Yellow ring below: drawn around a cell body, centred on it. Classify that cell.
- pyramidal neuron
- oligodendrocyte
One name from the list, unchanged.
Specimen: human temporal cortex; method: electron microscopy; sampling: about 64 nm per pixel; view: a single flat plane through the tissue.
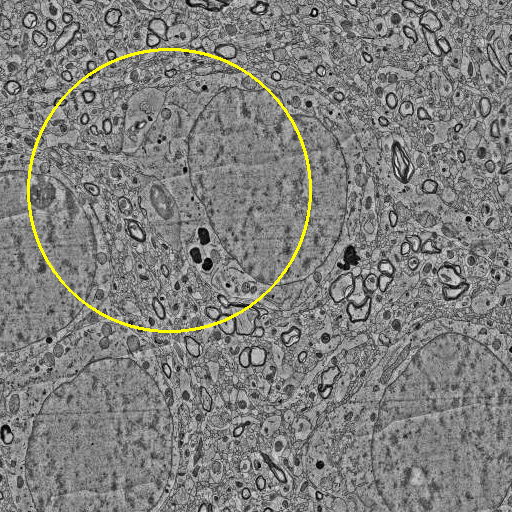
oligodendrocyte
